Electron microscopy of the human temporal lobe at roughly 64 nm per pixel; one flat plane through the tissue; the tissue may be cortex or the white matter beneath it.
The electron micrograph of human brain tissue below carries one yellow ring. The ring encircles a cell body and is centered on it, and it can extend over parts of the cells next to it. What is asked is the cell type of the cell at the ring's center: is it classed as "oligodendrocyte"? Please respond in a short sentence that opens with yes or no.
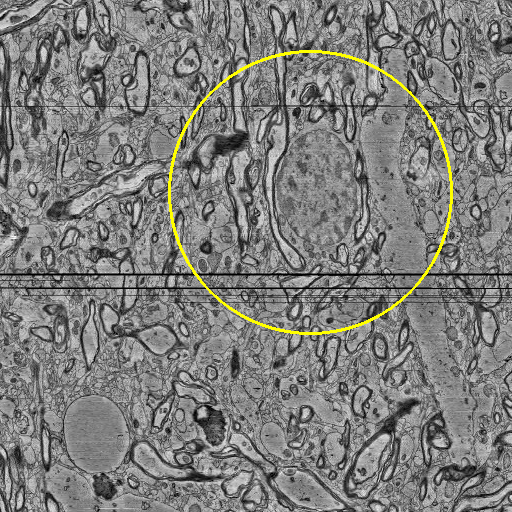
Yes, it is classed that way.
